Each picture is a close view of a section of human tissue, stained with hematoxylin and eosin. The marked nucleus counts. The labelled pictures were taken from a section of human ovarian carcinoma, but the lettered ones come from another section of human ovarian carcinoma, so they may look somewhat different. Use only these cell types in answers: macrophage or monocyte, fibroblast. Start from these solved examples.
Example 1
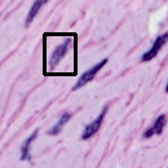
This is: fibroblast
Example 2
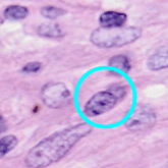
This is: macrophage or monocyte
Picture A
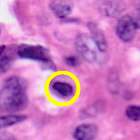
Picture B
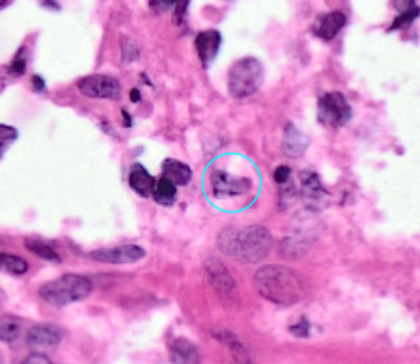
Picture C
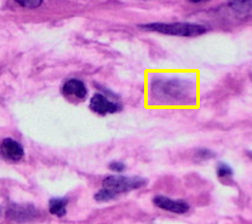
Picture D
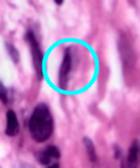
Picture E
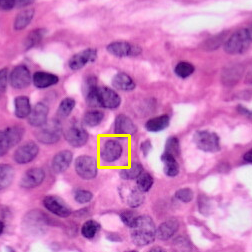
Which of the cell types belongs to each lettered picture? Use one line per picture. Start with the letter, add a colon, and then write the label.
A: macrophage or monocyte
B: macrophage or monocyte
C: fibroblast
D: fibroblast
E: macrophage or monocyte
